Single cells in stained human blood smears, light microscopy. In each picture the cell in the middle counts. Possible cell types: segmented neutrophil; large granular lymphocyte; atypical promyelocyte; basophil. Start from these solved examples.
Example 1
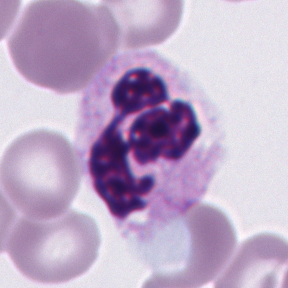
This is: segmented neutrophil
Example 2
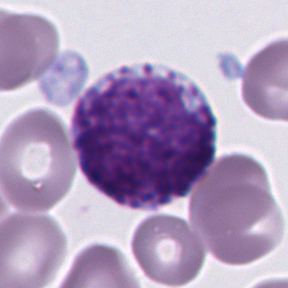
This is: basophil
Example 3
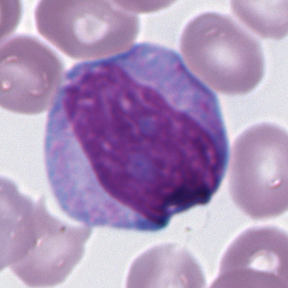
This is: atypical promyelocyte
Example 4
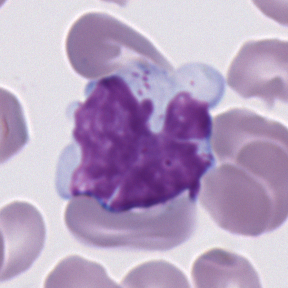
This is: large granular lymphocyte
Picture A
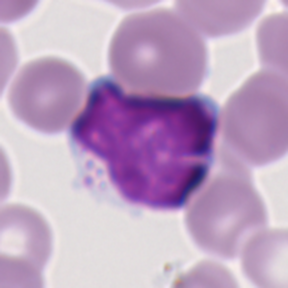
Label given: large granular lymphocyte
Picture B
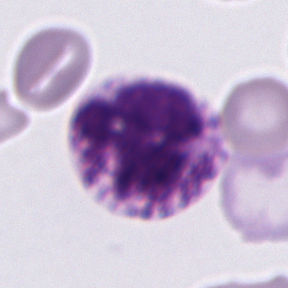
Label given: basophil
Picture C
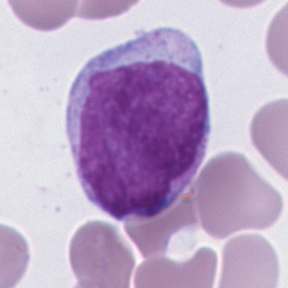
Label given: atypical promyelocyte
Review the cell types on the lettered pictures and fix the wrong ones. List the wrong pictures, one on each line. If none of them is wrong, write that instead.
All labels are correct.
